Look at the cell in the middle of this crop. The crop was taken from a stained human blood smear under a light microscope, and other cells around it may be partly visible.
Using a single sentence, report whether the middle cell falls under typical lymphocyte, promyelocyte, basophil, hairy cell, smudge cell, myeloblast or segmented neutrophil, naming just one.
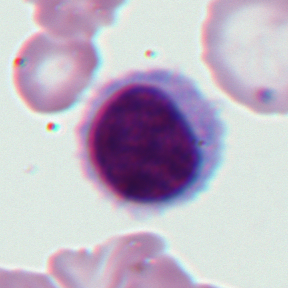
The crop shows a hairy cell in its centre.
